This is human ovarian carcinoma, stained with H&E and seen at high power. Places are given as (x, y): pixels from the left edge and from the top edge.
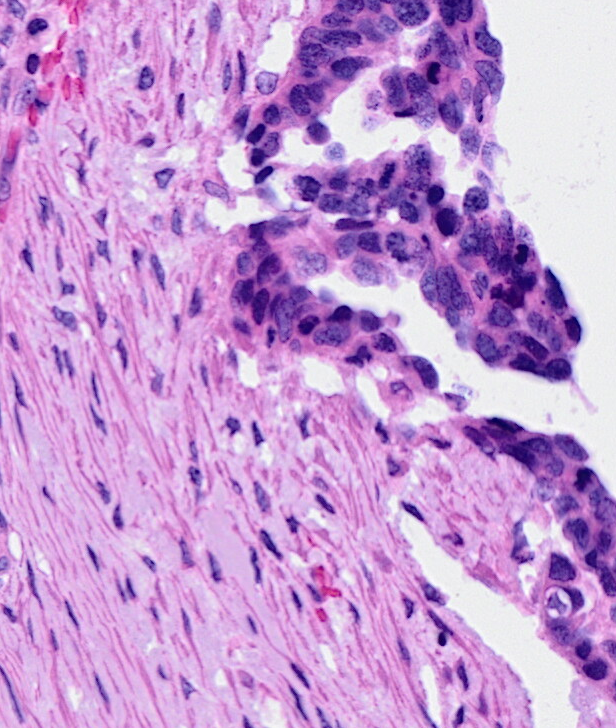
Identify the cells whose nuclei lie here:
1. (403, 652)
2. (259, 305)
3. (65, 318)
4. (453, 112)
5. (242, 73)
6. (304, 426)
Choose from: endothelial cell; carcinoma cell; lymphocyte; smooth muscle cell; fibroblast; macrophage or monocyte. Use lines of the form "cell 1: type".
cell 1: fibroblast
cell 2: carcinoma cell
cell 3: fibroblast
cell 4: carcinoma cell
cell 5: fibroblast
cell 6: fibroblast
